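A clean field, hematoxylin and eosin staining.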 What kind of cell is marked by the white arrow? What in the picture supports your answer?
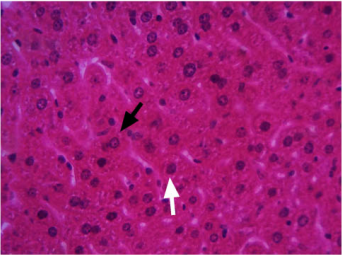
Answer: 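The arrow points to a polygonal cell with pink cytoplasm. The marked cell has a single round central nucleus.
Mononucleated hepatocyte.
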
